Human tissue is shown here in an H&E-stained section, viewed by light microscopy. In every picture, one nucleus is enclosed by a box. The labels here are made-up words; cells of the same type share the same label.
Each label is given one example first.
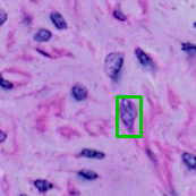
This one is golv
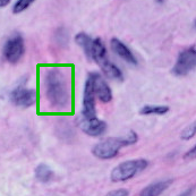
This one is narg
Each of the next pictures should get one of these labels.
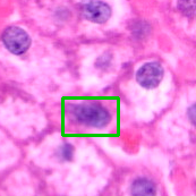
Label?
narg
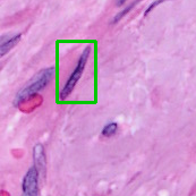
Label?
narg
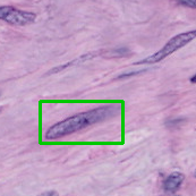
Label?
golv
